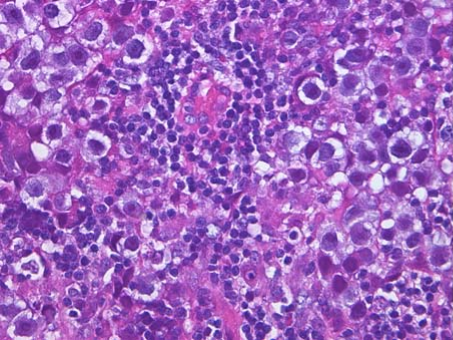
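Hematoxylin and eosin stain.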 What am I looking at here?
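Tissue made of two intermingled cell populations: lymphocytes and large tumour cells. The lymphocytes are small and round, with dense dark purple nuclei and very little cytoplasm, and form sheets and bands between the larger cells. The large cells are scattered singly and in loose groups; they have big round vesicular nuclei, often with a conspicuous nucleolus, and abundant pale or clear cytoplasm, with distinct cell borders and clear spaces around many of them. Pink eosinophilic material lies between the cells in places. The contrast in size between the two populations gives a two-toned, mixed appearance.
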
